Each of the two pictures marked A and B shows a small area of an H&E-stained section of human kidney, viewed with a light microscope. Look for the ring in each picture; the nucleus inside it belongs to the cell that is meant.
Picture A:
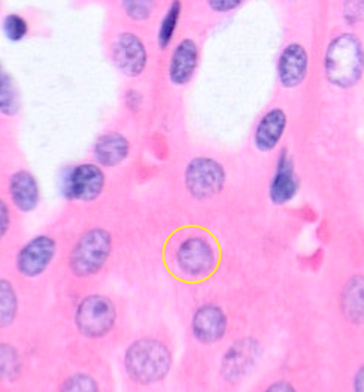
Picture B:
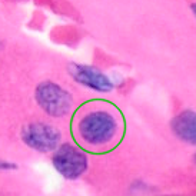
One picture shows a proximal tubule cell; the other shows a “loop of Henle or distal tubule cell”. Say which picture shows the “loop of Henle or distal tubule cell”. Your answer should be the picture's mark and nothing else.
B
